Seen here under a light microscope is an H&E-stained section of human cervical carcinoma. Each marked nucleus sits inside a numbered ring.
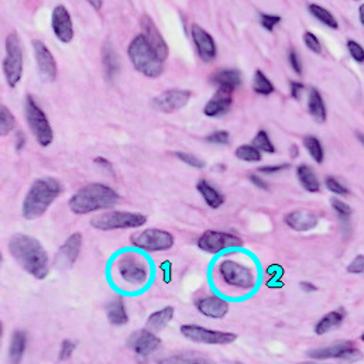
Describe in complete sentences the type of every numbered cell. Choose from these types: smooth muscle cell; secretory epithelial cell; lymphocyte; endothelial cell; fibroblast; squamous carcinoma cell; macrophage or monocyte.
Cell 1 is a fibroblast. Cell 2 is an endothelial cell.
